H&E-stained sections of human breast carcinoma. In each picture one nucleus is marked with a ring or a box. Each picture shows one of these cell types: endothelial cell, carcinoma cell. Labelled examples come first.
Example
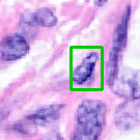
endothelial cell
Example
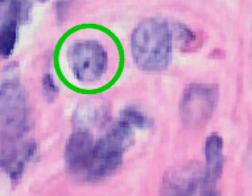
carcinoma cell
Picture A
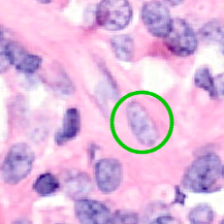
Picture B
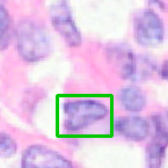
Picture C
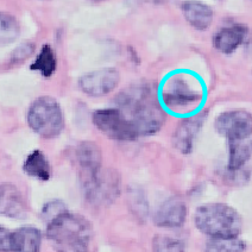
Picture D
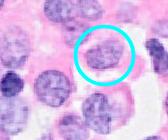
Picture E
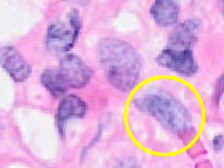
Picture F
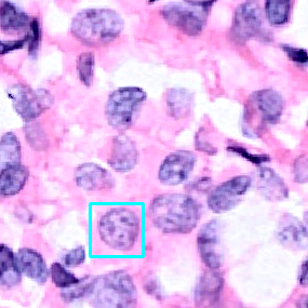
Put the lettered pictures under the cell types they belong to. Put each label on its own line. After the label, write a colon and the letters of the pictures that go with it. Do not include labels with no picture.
endothelial cell: A, C, E
carcinoma cell: B, D, F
